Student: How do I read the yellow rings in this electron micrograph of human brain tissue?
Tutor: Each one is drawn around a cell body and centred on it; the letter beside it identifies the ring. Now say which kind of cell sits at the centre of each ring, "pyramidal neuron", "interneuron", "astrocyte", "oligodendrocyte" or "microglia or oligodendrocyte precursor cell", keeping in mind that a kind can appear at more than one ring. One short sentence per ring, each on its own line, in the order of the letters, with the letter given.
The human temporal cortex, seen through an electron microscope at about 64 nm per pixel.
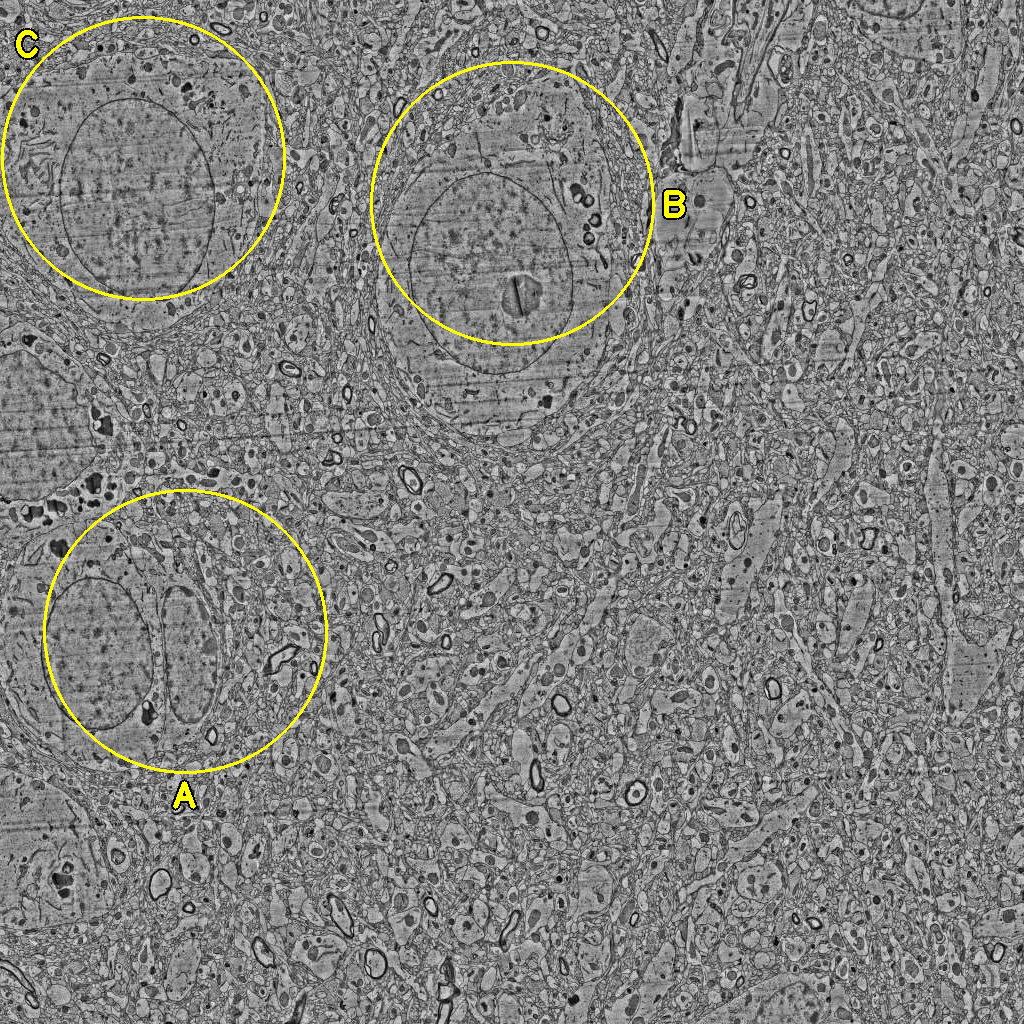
In the centre of ring A is a microglial cell or oligodendrocyte precursor cell.
In the centre of ring B is a pyramidal neuron.
In the centre of ring C is a pyramidal neuron.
